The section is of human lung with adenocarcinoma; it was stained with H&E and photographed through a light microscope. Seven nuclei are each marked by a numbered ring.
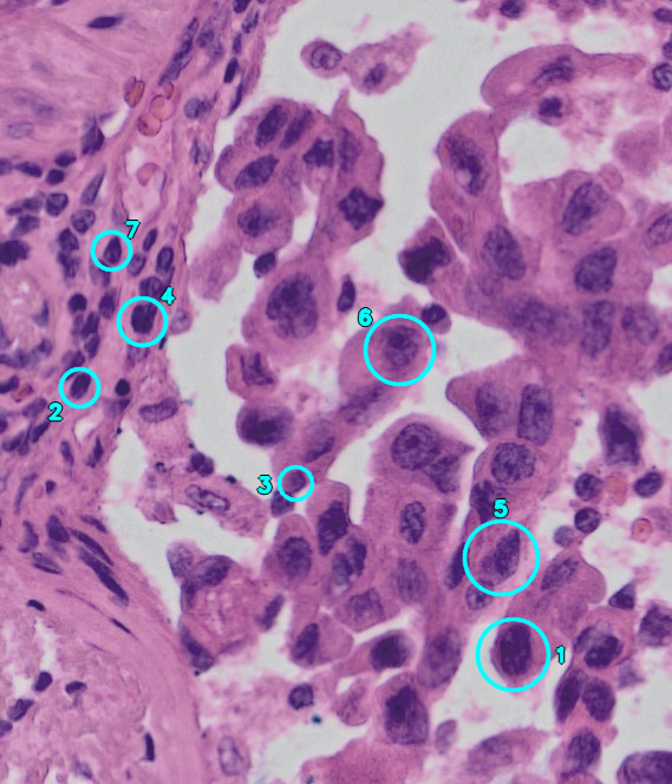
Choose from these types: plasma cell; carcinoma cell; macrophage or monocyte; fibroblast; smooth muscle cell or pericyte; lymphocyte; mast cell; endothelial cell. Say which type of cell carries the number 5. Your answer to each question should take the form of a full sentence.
In this section, number 5 marks a carcinoma cell.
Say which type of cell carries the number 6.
The one numbered 6 among the marked cells is a carcinoma cell.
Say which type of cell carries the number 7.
The cell that goes by number 7 is a lymphocyte.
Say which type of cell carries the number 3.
The mark numbered 3 indicates the nucleus of a carcinoma cell.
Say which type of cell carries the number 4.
The identity of cell 4 is that of a lymphocyte.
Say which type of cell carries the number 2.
The cell to which the number 2 is assigned is a lymphocyte.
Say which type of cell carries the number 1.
The cell referenced by the number 1 is a carcinoma cell in this field.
